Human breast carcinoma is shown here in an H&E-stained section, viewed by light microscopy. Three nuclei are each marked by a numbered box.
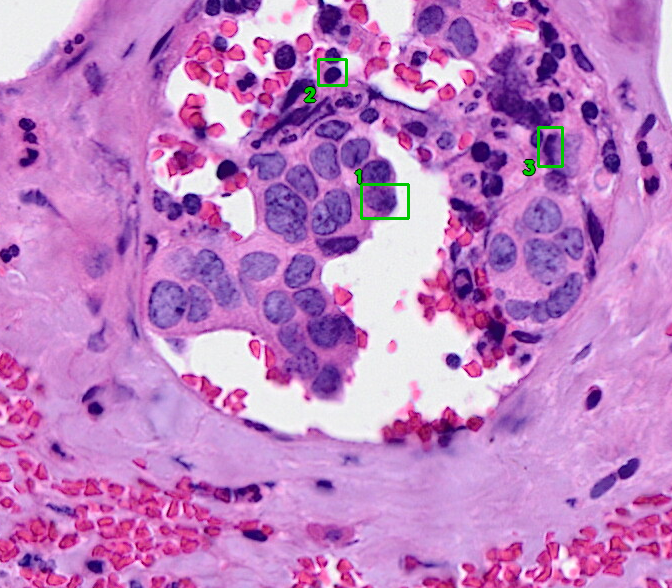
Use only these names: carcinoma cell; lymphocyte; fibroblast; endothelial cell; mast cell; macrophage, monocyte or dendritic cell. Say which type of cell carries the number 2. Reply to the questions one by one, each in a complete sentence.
Numbered cell 2 is a lymphocyte in this tissue section.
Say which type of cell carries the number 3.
The cell identified by number 3 is a carcinoma cell.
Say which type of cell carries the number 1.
The cell bearing label 1 corresponds to a carcinoma cell.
